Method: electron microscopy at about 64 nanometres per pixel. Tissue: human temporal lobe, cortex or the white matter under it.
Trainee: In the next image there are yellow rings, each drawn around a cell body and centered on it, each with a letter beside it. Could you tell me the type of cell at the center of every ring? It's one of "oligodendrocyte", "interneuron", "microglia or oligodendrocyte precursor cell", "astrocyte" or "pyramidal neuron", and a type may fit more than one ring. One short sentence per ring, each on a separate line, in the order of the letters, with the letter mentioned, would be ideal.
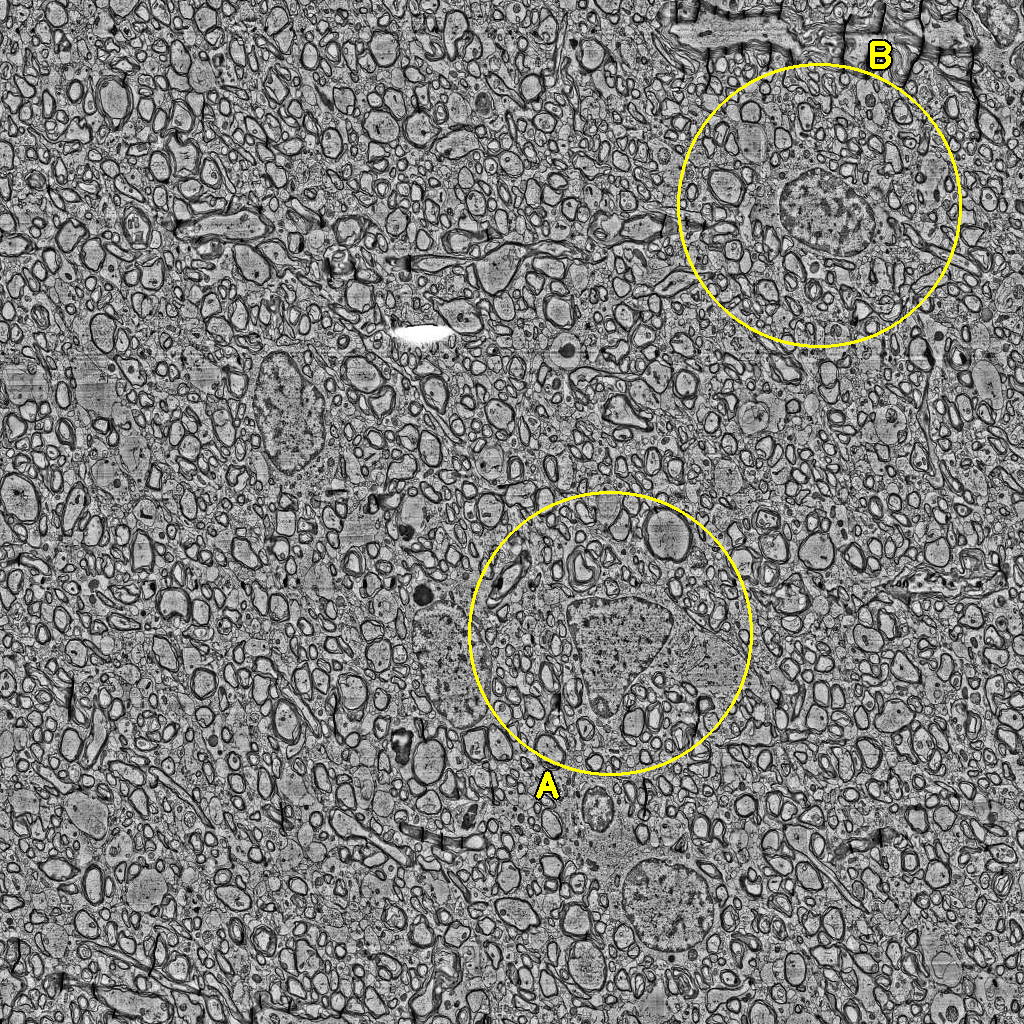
What ring A is centered on is a microglial cell or oligodendrocyte precursor cell.
What ring B is centered on is an oligodendrocyte.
